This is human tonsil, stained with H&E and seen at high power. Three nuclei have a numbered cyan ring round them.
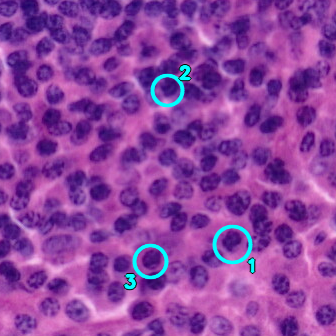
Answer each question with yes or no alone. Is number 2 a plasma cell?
no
